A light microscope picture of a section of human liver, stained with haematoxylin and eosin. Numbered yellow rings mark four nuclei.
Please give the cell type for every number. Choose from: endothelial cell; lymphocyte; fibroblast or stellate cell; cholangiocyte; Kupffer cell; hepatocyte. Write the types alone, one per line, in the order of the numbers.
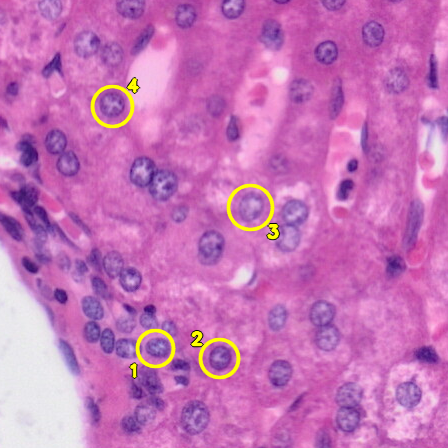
cholangiocyte
hepatocyte
hepatocyte
hepatocyte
